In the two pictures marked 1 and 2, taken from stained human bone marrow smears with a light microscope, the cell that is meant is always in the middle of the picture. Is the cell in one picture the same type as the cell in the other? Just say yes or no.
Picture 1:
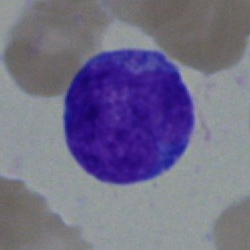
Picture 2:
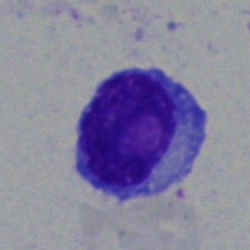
no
